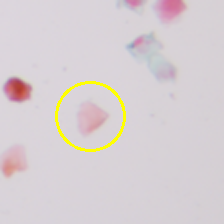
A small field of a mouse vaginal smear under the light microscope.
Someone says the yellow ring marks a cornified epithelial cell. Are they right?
They are right: it is a cornified epithelial cell.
